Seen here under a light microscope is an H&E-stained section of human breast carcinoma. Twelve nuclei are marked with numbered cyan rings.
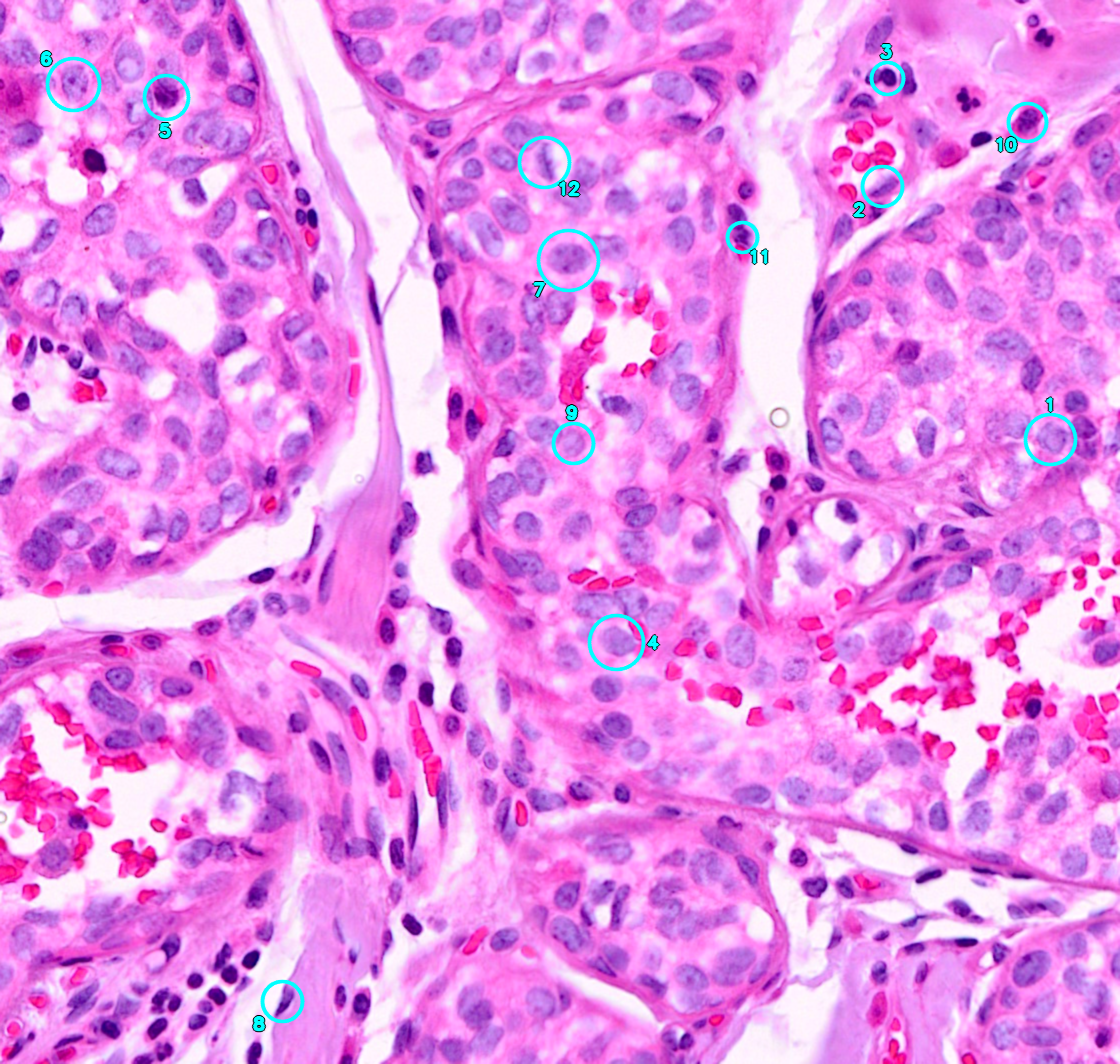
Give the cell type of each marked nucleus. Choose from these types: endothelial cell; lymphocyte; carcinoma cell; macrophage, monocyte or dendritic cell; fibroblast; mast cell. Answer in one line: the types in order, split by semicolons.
carcinoma cell; endothelial cell; lymphocyte; carcinoma cell; carcinoma cell; carcinoma cell; carcinoma cell; fibroblast; carcinoma cell; mast cell; endothelial cell; carcinoma cell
